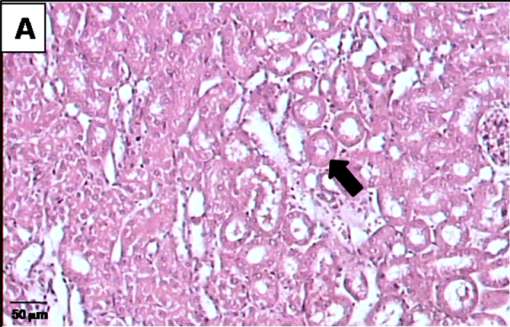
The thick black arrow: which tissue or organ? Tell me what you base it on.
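The arrow points at a round tubule cross-section lined by a ring of pink cuboidal cells with round nuclei. The tubule has a small open lumen.
Conclusion: tubular epithelium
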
